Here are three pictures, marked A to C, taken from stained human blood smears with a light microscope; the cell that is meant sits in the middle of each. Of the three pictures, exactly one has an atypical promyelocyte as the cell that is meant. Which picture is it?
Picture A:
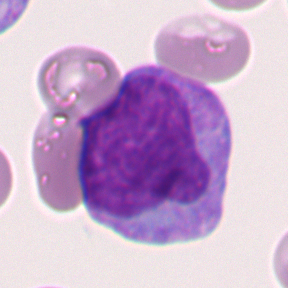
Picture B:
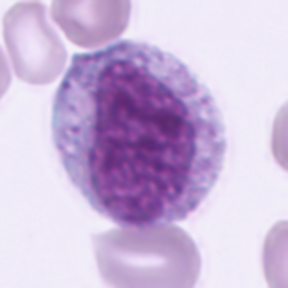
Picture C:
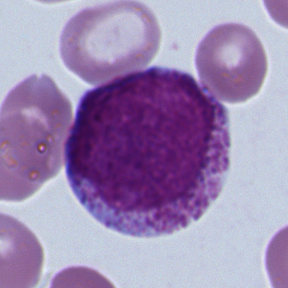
A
